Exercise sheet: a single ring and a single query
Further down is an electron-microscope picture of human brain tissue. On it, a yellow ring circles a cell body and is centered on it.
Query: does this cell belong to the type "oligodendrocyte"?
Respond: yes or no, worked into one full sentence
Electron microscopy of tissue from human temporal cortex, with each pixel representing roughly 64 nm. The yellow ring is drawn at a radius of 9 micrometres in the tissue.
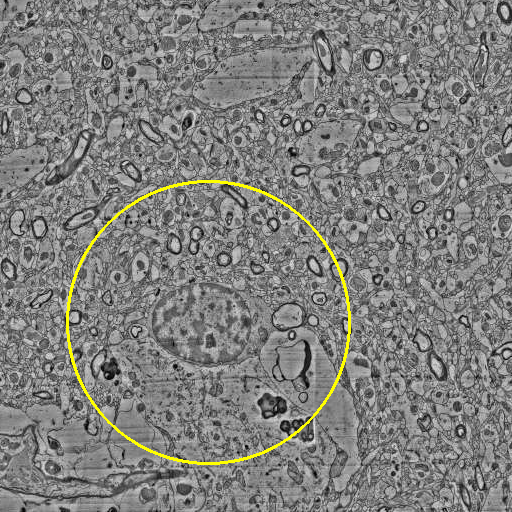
Yes, this ringed cell, found at the center of the ring in the picture, is of that type.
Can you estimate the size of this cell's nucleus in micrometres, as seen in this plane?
The nucleus is approximately 6 micrometers long by 5 micrometers wide in this plane.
